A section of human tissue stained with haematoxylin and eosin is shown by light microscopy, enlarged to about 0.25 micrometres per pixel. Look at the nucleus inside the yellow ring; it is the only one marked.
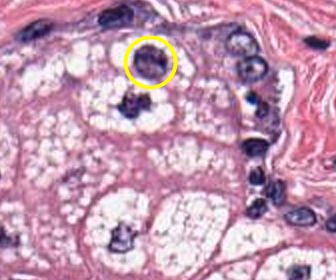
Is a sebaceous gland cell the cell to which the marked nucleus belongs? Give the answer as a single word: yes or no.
yes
